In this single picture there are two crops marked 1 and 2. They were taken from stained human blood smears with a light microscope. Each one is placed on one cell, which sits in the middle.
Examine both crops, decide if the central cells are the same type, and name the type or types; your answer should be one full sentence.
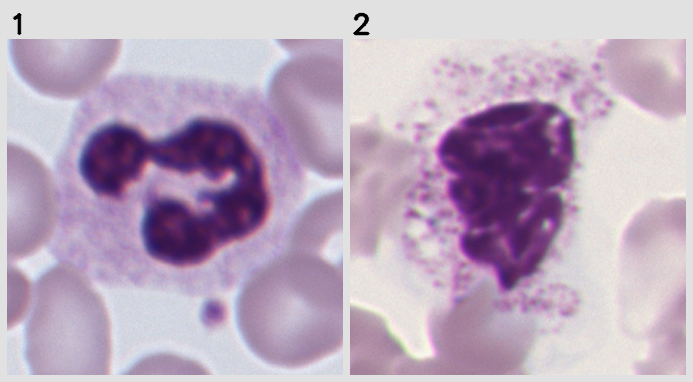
Yes, segmented neutrophils occupy the centre of both crops.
